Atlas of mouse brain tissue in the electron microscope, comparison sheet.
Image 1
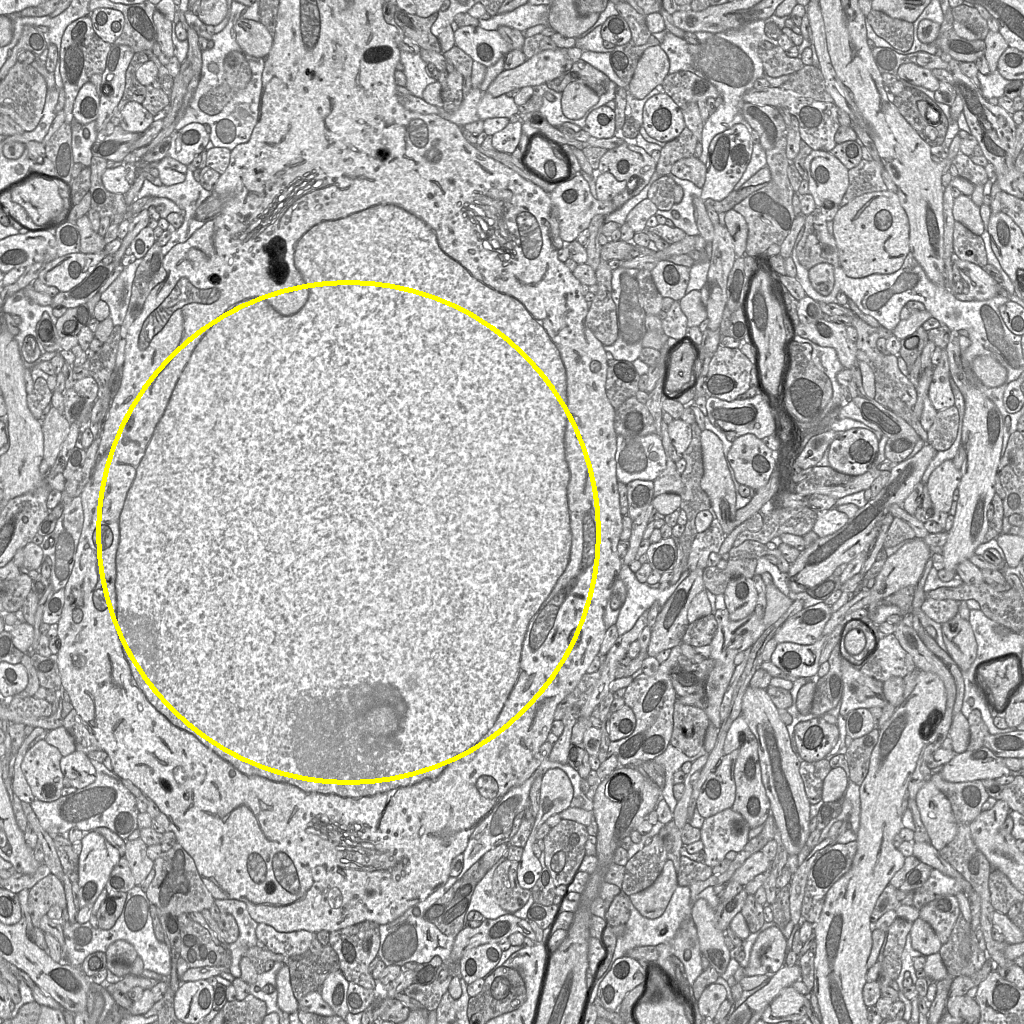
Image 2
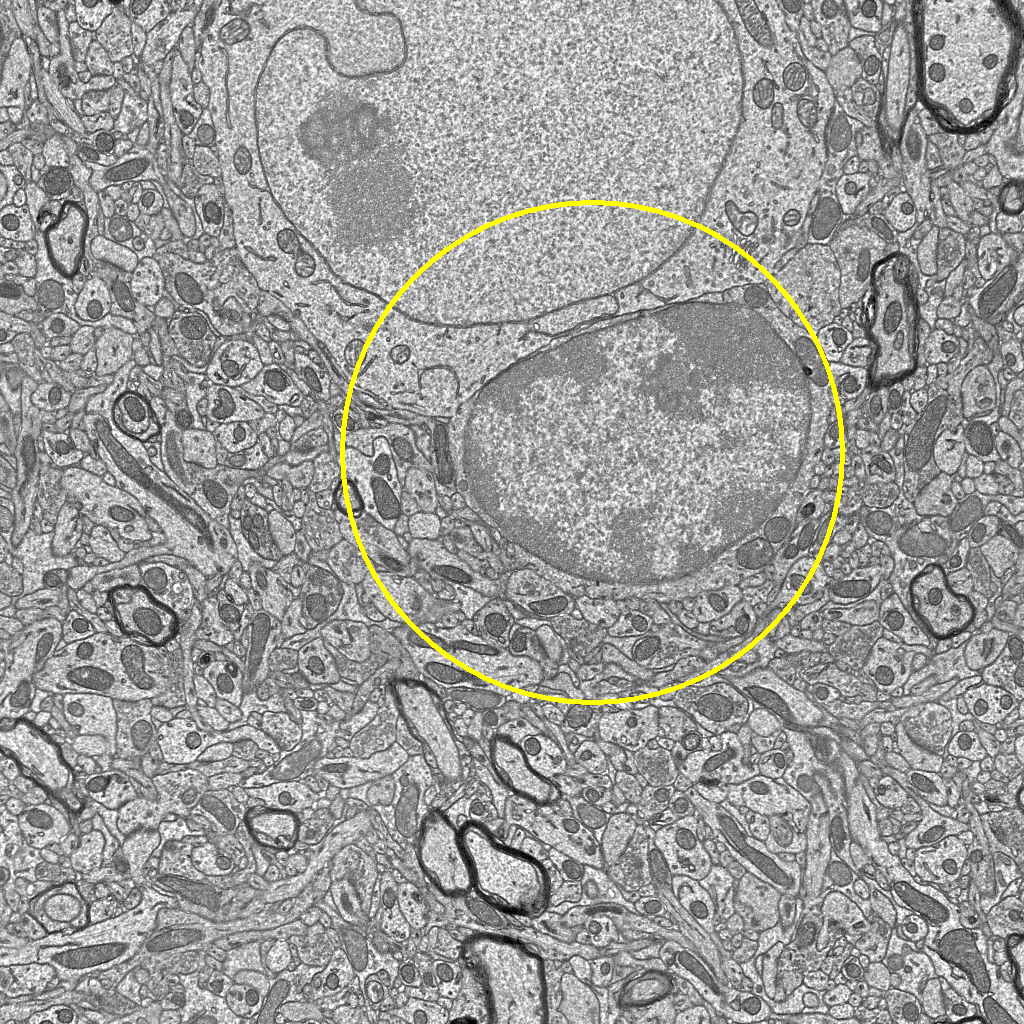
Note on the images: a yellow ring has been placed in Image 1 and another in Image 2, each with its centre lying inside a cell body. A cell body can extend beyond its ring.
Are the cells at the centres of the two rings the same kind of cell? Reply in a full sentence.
No, the two cells are of two kinds.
